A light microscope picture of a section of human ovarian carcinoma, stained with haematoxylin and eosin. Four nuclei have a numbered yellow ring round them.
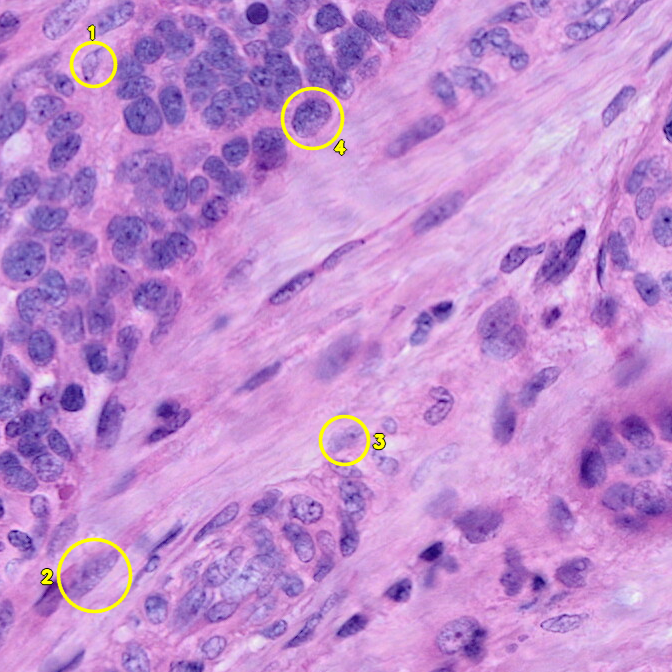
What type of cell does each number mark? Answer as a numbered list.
1. fibroblast
2. fibroblast
3. fibroblast
4. carcinoma cell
